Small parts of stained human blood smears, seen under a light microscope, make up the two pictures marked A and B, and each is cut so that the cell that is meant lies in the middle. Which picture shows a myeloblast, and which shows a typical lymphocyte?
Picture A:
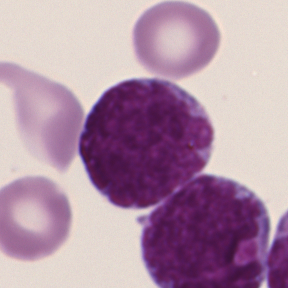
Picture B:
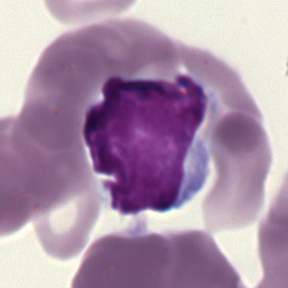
A: myeloblast
B: typical lymphocyte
